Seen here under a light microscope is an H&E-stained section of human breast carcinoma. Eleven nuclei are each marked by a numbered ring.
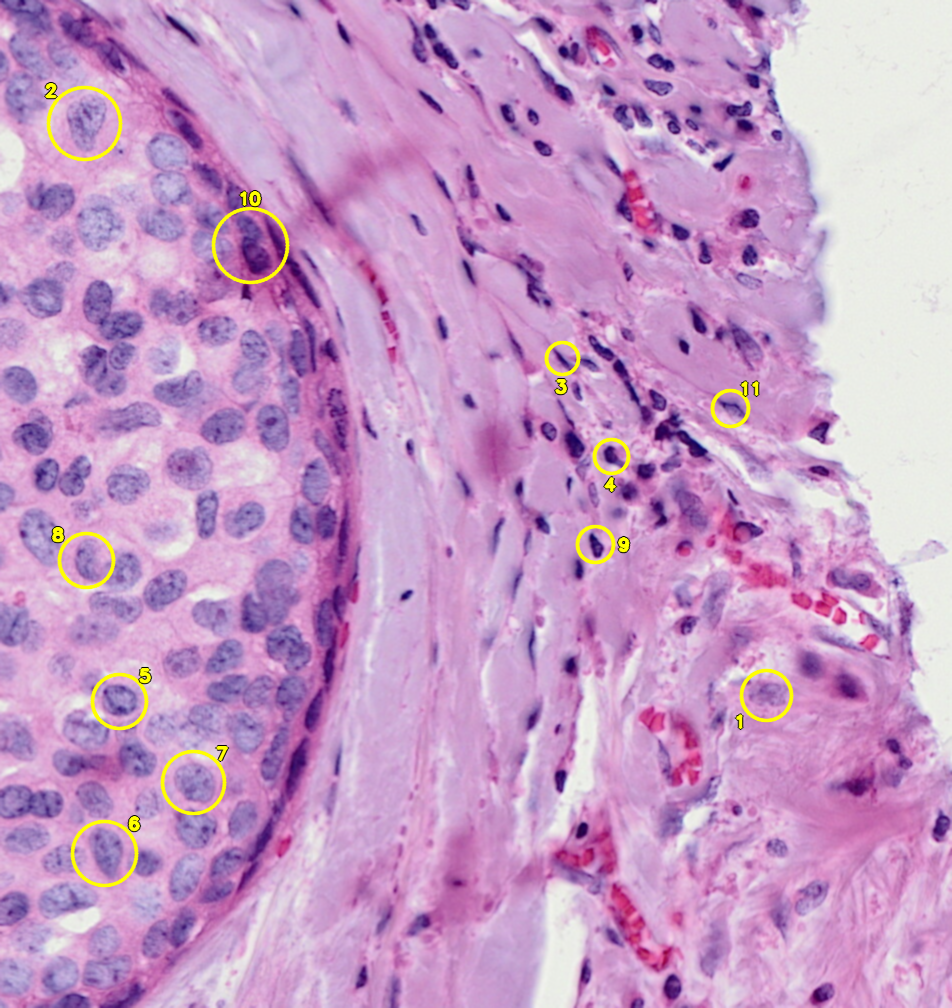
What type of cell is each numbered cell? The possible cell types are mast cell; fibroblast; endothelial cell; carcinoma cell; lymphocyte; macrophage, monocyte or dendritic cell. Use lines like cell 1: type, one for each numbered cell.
cell 1: fibroblast
cell 2: carcinoma cell
cell 3: fibroblast
cell 4: lymphocyte
cell 5: carcinoma cell
cell 6: carcinoma cell
cell 7: carcinoma cell
cell 8: carcinoma cell
cell 9: lymphocyte
cell 10: carcinoma cell
cell 11: fibroblast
